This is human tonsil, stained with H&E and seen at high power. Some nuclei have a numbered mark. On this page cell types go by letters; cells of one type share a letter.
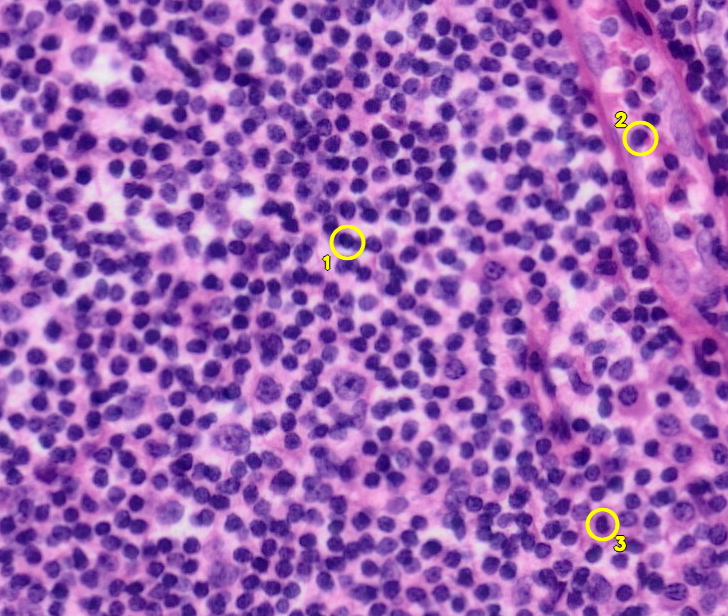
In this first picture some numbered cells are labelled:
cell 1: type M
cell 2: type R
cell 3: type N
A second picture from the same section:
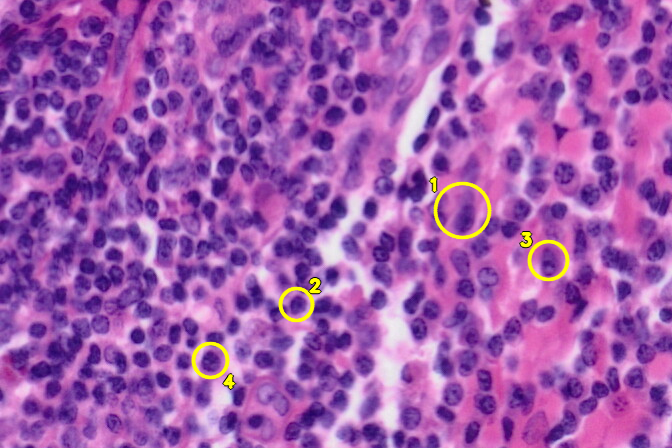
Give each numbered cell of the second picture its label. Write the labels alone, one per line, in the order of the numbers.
type R
type M
type N
type N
